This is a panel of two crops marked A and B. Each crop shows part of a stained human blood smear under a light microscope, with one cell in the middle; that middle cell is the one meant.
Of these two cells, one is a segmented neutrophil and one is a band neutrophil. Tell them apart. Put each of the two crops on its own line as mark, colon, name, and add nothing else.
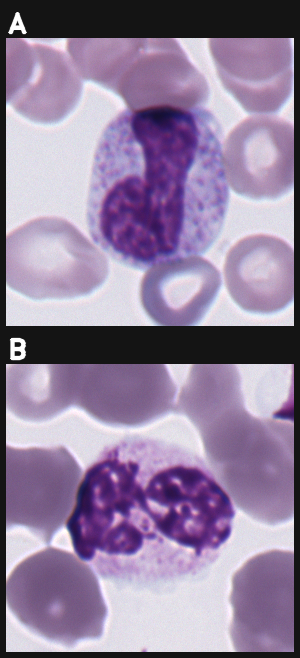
A: band neutrophil
B: segmented neutrophil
